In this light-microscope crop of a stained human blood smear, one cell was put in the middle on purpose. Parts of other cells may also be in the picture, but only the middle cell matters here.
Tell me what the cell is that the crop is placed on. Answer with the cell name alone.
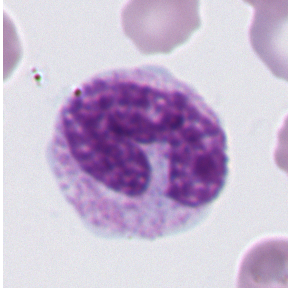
band neutrophil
